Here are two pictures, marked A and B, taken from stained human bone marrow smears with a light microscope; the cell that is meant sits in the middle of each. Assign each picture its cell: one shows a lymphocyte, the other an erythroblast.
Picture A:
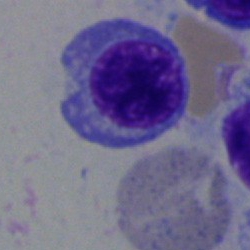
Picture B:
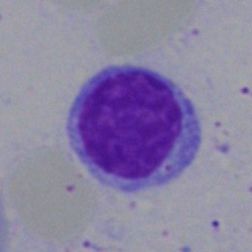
A: erythroblast
B: lymphocyte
